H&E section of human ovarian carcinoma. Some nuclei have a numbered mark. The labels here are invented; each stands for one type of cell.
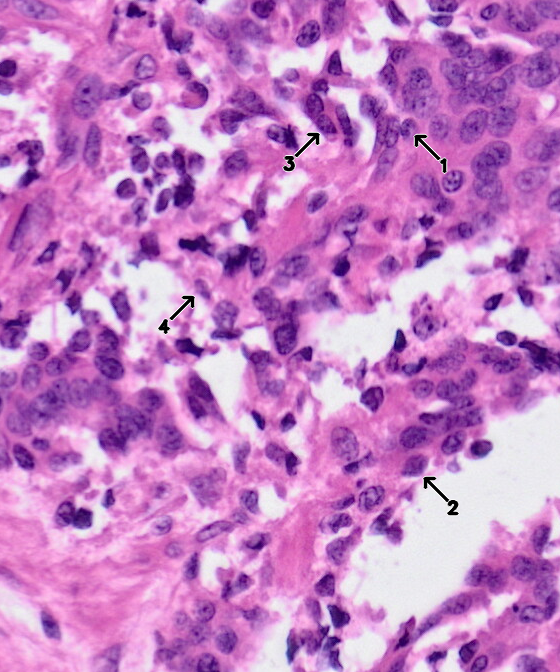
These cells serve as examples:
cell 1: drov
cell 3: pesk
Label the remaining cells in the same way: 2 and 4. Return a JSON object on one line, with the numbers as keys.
{"2": "pesk", "4": "drov"}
